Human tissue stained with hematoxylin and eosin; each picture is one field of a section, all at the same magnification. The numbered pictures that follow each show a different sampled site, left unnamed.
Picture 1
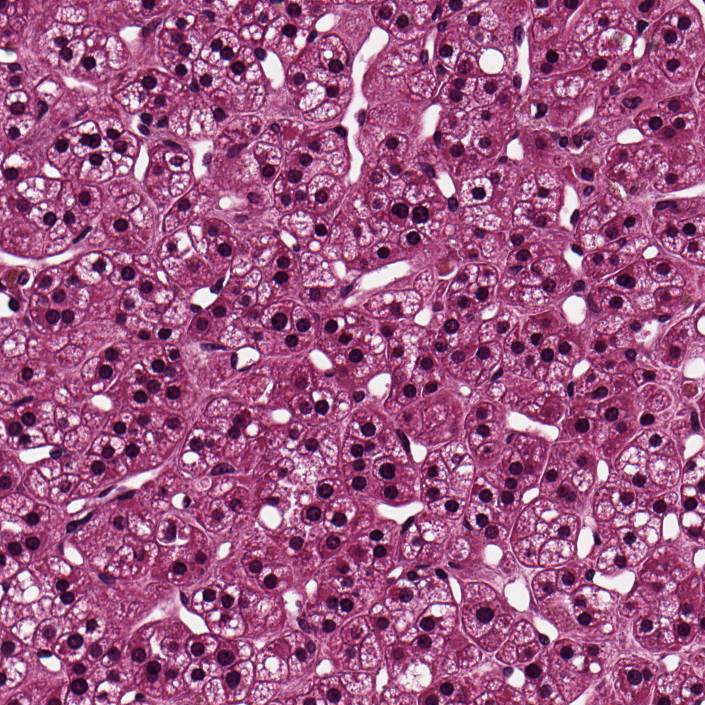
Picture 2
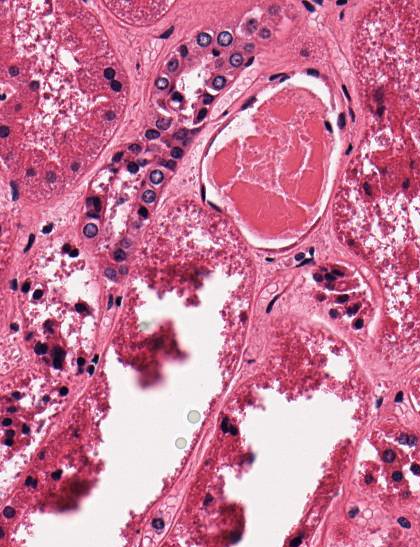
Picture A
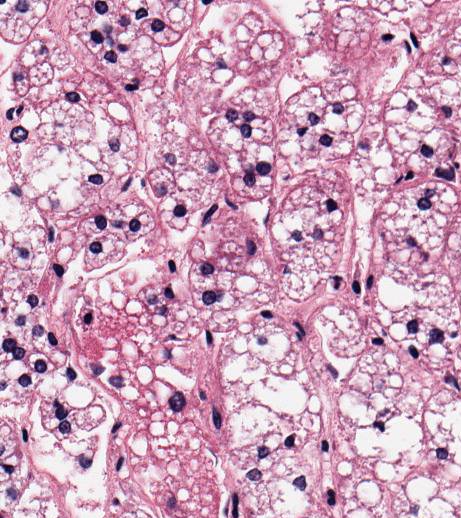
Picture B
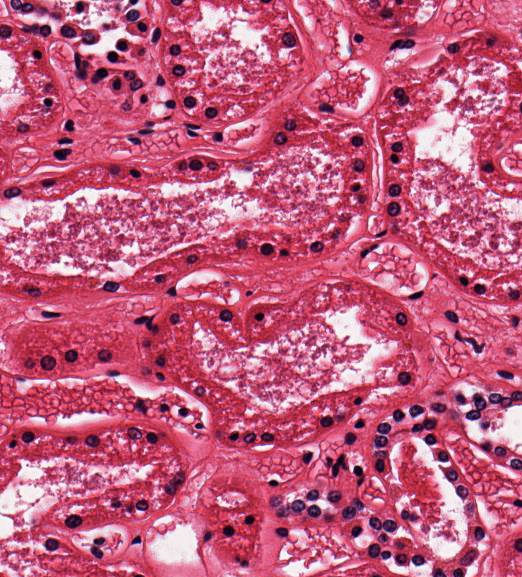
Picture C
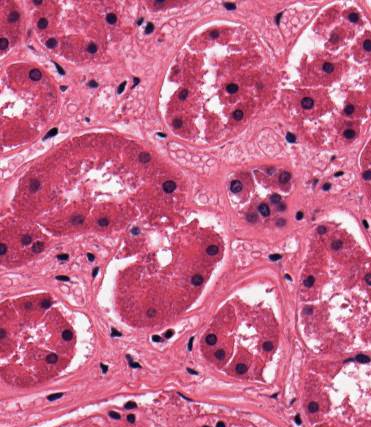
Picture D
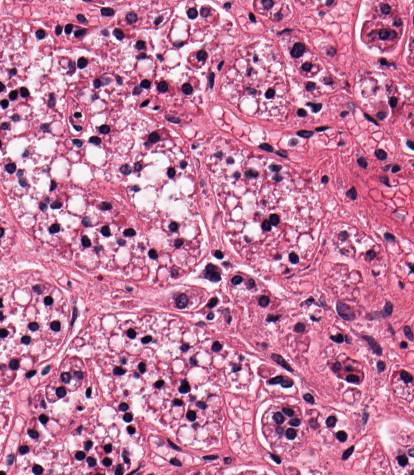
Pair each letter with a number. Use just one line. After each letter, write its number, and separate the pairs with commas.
A 1, B 2, C 2, D 1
